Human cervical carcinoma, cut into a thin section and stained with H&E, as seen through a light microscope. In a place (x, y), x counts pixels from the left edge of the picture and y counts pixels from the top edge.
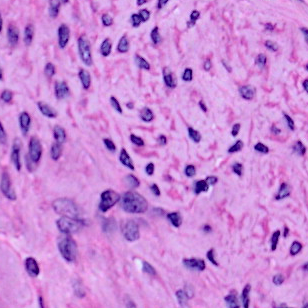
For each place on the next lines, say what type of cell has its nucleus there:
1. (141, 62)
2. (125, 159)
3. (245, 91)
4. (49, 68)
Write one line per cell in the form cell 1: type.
cell 1: smooth muscle cell
cell 2: fibroblast
cell 3: smooth muscle cell
cell 4: smooth muscle cell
